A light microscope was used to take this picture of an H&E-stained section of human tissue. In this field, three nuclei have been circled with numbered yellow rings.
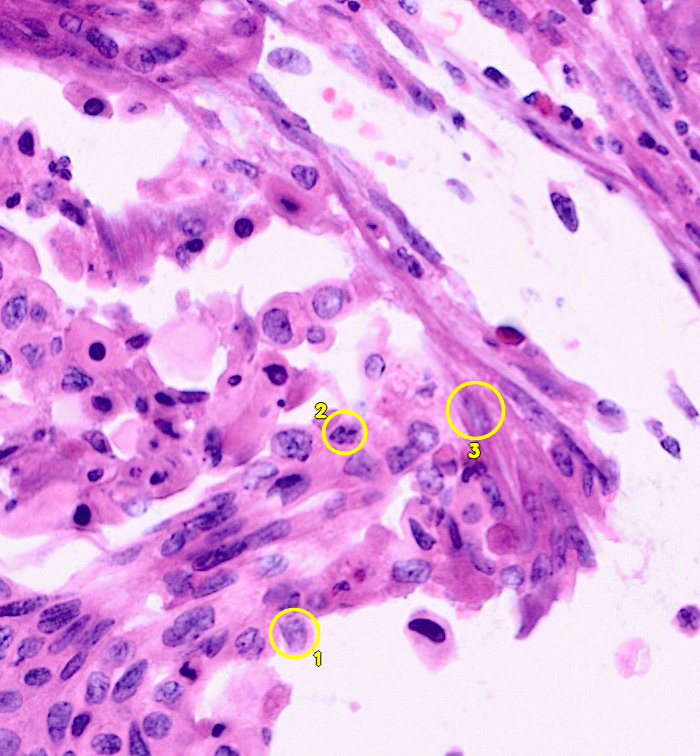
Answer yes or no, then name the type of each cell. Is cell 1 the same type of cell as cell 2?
Yes, cells 1 and 2 both belong among the squamous carcinoma cells.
